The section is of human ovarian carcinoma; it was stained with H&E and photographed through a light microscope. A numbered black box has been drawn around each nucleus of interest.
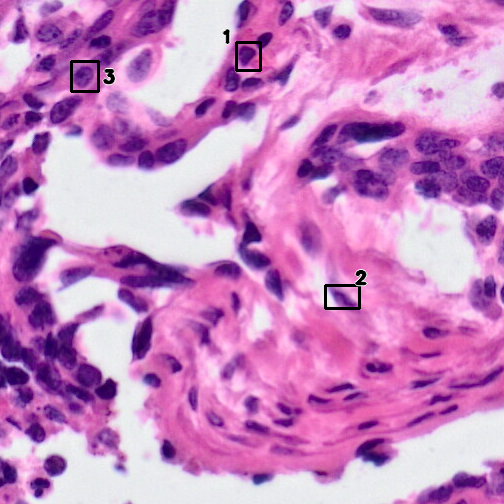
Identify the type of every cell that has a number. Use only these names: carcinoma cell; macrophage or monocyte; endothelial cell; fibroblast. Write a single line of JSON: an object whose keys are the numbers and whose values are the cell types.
{"1": "endothelial cell", "2": "fibroblast", "3": "macrophage or monocyte"}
